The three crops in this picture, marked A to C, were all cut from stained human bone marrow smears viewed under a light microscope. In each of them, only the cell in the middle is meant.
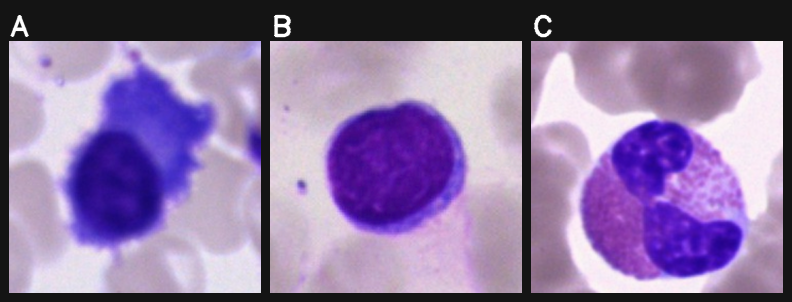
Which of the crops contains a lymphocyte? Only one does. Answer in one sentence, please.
Among the crops, only crop B contains a lymphocyte.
